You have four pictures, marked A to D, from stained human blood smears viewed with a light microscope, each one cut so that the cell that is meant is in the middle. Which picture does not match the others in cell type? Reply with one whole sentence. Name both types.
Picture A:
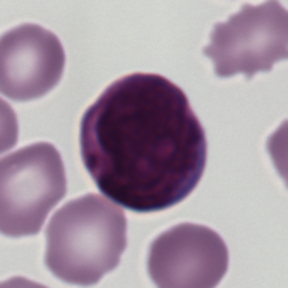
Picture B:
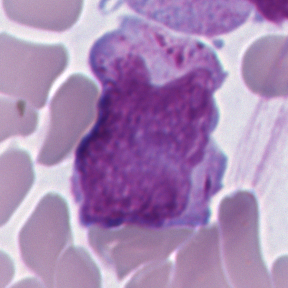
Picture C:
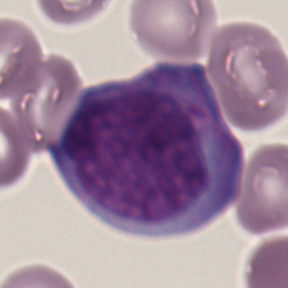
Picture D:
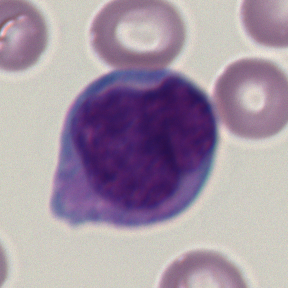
Picture A is the odd one out: it shows a myeloblast, while the others show atypical promyelocytes.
